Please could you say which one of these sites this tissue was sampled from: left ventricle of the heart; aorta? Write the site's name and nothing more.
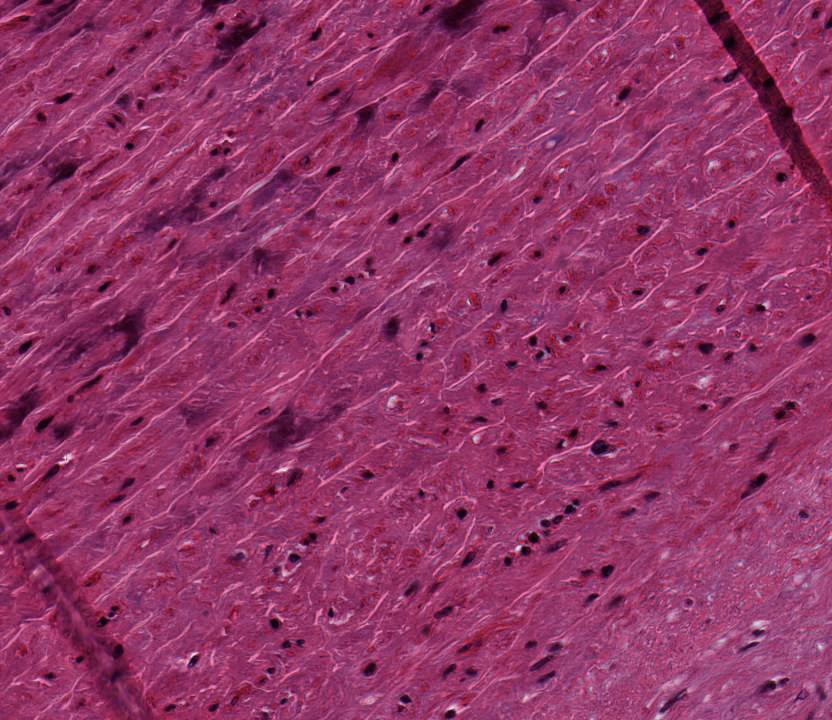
aorta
